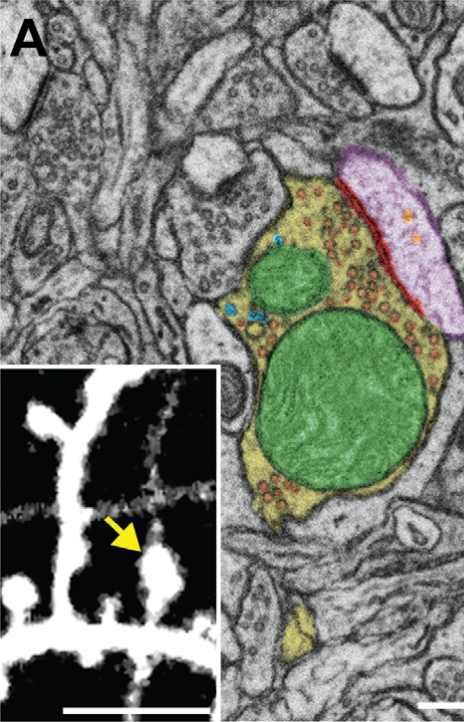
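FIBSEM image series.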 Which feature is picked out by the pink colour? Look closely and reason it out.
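An elongated pink-shaded profile without synaptic vesicles. It lies opposite the yellow profile across the red-marked thickened membrane.
Answer: dendritic spine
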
